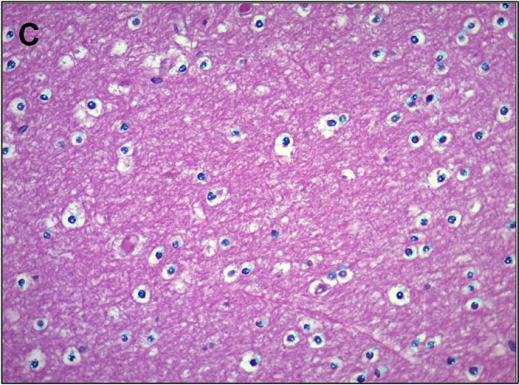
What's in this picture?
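Here we look at white matter, with oligodendrocytes spread through a pale pink fibrillary background of nerve fibres. Each of these cells has a compact, round, darkly stained nucleus sitting in the middle of a clear halo, so the cells look like small holes with a dark dot at the centre. They are scattered rather sparsely and fairly evenly, mostly one by one. Between them the tissue is a fine, slightly wavy pink meshwork. A few paler, more irregular nuclei belong to other glial cells.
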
